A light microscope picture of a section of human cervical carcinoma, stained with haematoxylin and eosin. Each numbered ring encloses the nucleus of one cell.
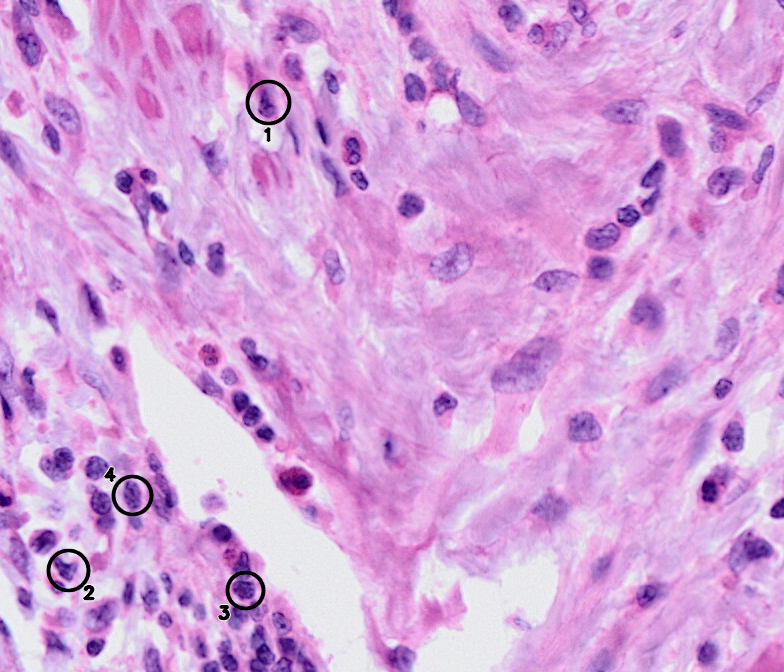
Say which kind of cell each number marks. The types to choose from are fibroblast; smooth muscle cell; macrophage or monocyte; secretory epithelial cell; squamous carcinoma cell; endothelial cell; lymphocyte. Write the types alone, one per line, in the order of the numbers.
macrophage or monocyte
lymphocyte
lymphocyte
lymphocyte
